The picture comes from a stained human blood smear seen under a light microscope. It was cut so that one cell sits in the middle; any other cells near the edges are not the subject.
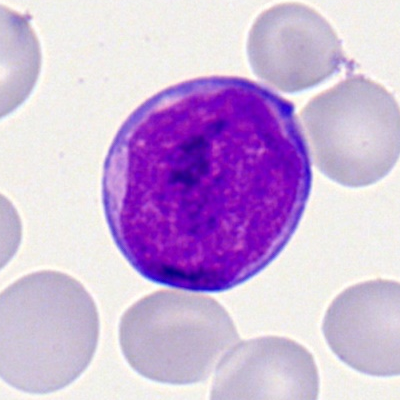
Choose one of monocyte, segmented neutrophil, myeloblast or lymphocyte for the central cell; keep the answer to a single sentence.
Whatever else lies nearby, the middle cell is a myeloblast.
